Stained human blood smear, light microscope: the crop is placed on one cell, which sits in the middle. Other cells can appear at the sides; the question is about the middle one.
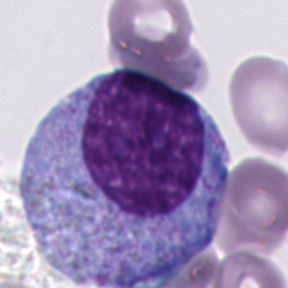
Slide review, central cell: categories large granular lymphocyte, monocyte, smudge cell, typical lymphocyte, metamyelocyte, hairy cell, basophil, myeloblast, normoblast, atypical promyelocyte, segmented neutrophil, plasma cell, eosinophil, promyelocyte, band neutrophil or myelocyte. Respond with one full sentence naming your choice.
By classification, the middle cell of this crop is a promyelocyte.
